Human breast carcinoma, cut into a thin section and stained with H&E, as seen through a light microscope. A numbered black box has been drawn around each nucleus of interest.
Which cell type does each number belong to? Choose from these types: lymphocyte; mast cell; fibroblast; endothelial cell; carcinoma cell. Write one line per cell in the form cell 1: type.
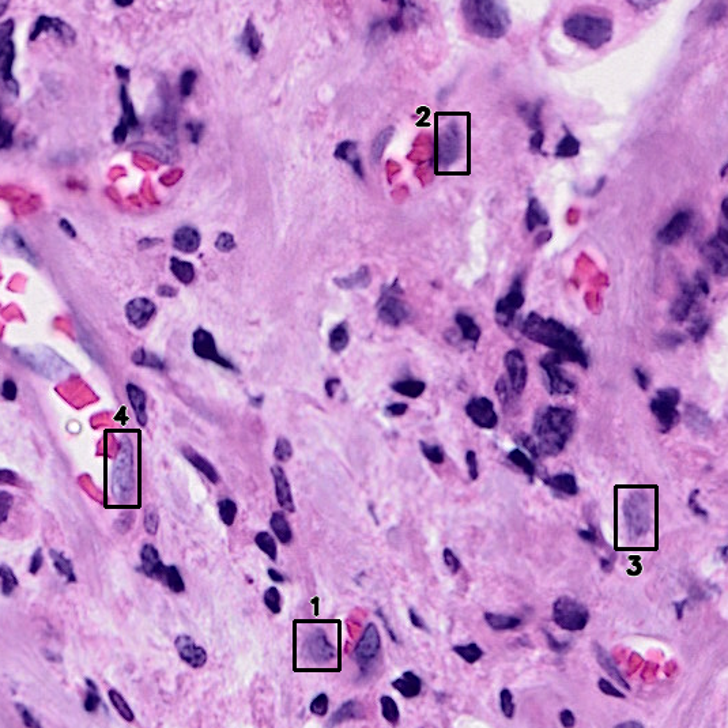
cell 1: endothelial cell
cell 2: endothelial cell
cell 3: fibroblast
cell 4: endothelial cell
